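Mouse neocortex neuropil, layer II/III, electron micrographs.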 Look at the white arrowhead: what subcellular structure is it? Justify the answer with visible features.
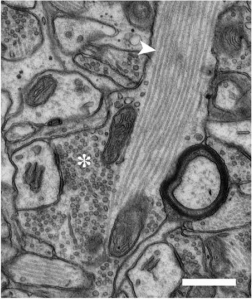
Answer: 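A broad band of closely spaced parallel lines crosses the field diagonally. The arrowhead points at this band. The answer: aligned microtubules.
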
